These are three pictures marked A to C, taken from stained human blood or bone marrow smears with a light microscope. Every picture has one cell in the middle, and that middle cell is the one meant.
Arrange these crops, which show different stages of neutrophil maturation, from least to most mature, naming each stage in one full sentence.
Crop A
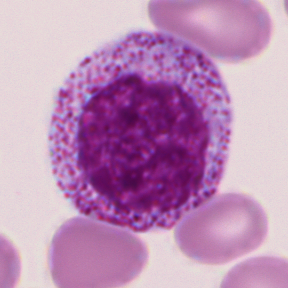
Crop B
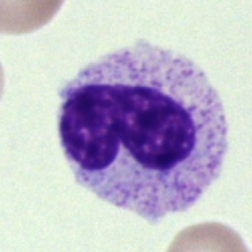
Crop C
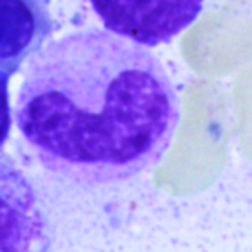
So the order, from least to most mature, is crop A (a myelocyte), crop B (a metamyelocyte) and crop C (a band neutrophil).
